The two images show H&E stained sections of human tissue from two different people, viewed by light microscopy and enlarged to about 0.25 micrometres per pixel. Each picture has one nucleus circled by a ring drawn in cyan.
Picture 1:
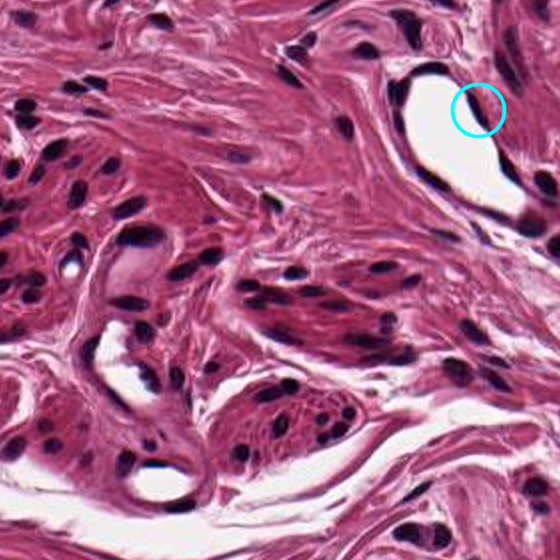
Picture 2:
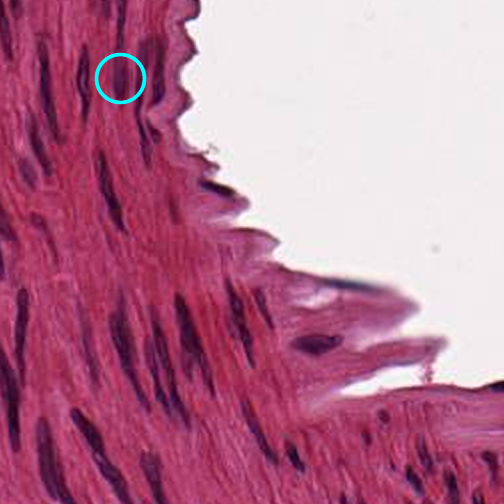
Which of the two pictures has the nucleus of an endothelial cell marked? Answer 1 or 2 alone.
1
